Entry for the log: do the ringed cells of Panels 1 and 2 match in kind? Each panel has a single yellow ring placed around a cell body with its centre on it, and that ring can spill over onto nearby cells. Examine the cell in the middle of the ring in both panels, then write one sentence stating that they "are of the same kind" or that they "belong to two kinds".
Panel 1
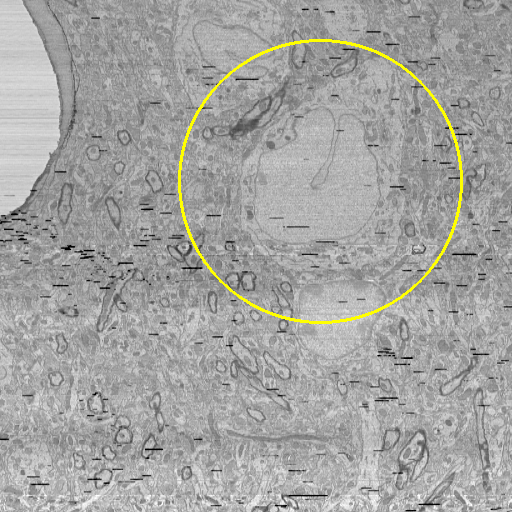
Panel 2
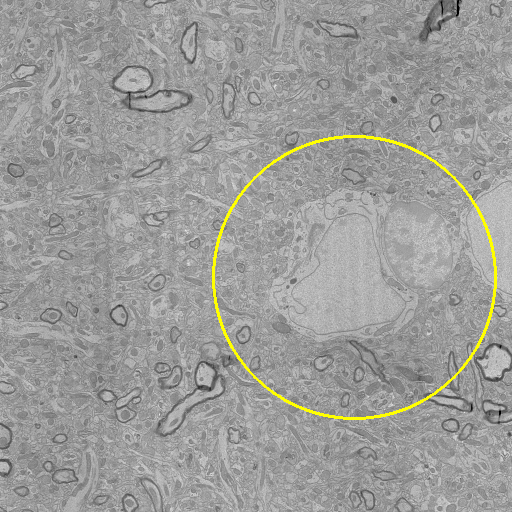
The centre cell of Panel 1's ring and that of Panel 2's ring are of the same kind.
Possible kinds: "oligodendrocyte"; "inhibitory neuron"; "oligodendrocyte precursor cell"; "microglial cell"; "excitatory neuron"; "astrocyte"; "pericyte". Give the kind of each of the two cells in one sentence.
Each of the two rings surrounds an excitatory neuron.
